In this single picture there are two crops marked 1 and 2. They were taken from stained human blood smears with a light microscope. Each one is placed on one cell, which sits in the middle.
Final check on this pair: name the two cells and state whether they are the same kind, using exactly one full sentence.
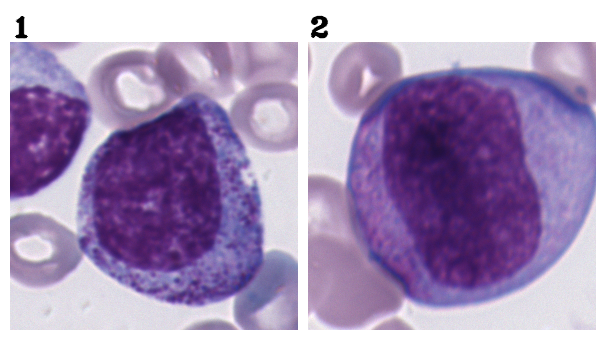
Yes, both crops show promyelocytes in their central position.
